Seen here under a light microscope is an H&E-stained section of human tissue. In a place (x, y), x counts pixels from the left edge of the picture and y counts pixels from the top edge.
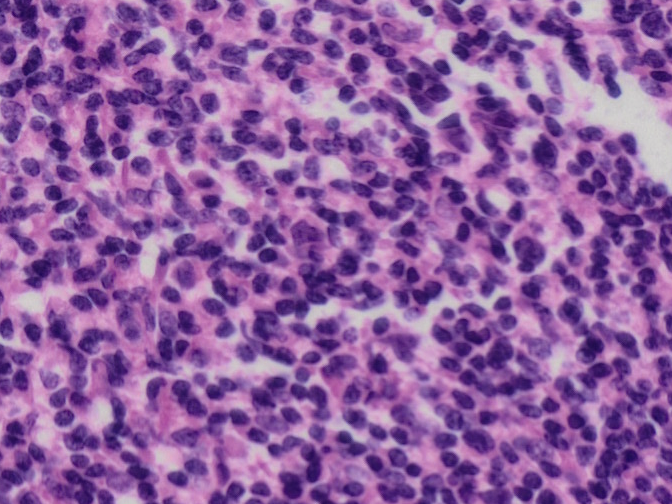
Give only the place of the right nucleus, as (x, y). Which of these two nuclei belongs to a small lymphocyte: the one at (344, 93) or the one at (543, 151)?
(344, 93)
